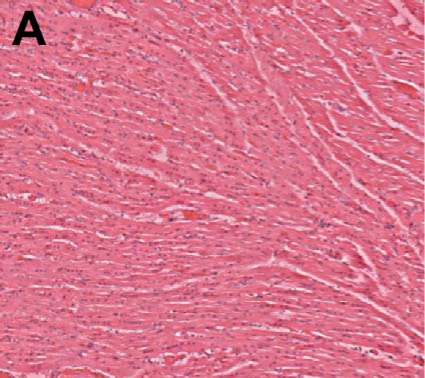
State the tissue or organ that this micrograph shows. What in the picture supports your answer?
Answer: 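Heart. Long pink-stained muscle fibres run in parallel bundles across the field. Elongated nuclei lie within the fibres.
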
